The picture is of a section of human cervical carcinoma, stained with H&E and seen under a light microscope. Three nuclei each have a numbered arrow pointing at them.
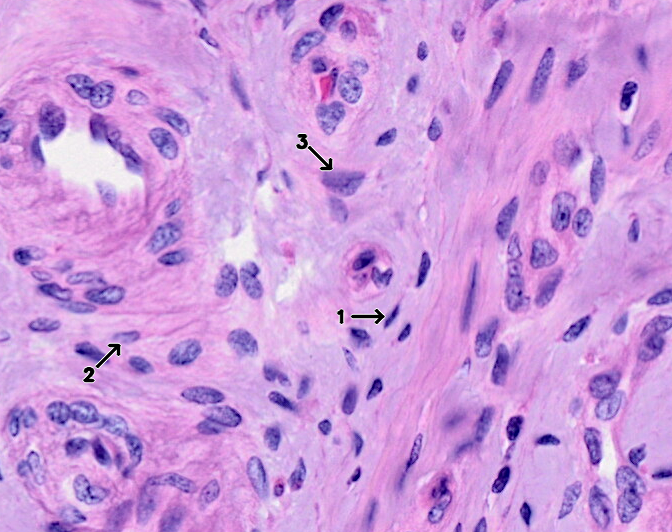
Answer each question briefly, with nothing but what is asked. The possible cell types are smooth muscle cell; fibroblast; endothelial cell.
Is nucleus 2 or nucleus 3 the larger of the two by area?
3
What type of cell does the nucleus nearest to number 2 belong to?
smooth muscle cell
